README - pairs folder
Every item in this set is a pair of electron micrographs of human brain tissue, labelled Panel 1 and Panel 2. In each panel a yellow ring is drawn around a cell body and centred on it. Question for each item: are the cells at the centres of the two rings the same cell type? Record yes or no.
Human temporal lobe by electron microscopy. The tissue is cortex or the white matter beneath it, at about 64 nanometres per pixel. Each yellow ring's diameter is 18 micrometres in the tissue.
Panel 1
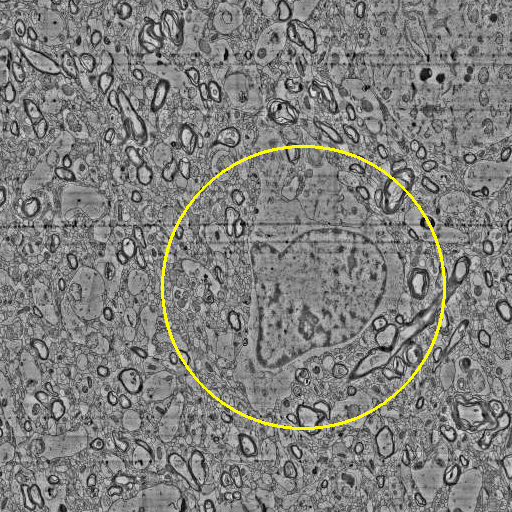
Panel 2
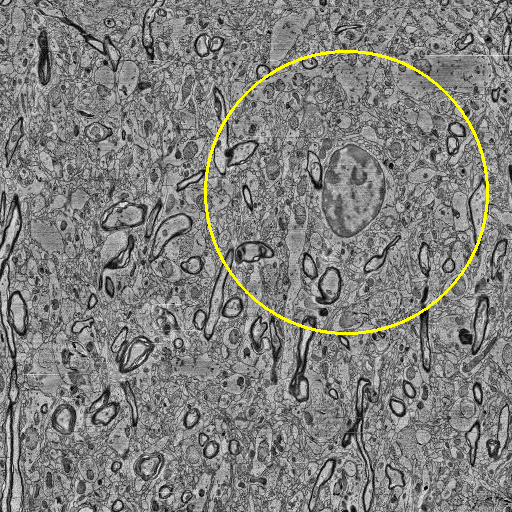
yes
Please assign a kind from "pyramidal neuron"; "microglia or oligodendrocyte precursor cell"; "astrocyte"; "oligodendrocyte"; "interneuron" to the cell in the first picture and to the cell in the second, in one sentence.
The ring centre holds a microglial cell or oligodendrocyte precursor cell in each of the two pictures.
